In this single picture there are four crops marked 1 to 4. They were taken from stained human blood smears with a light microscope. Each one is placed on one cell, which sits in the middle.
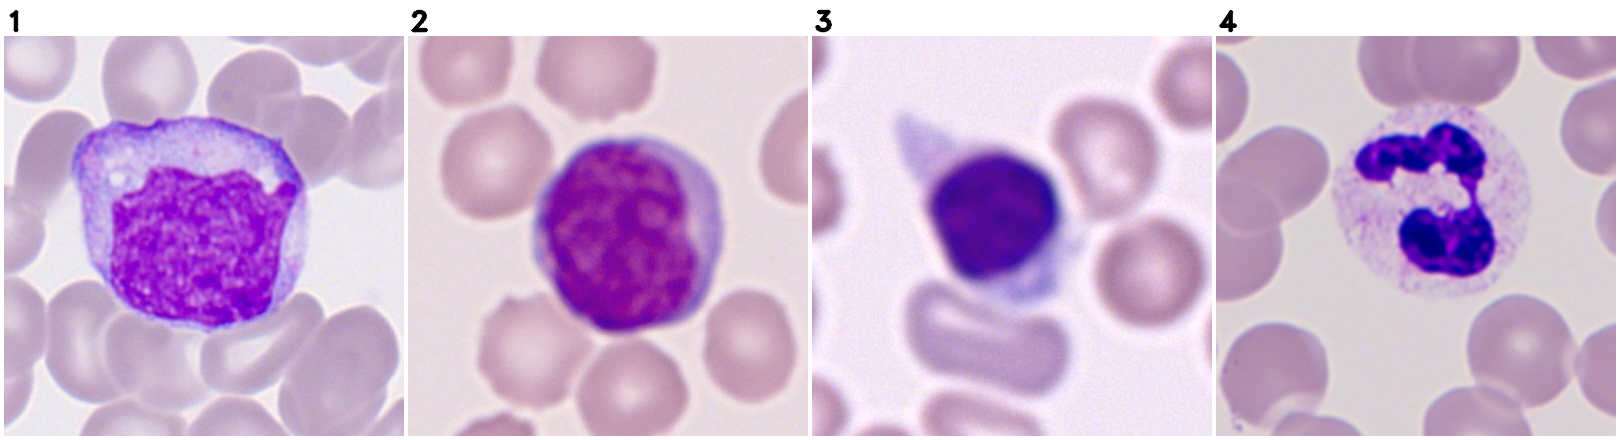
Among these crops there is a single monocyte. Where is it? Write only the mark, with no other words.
1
